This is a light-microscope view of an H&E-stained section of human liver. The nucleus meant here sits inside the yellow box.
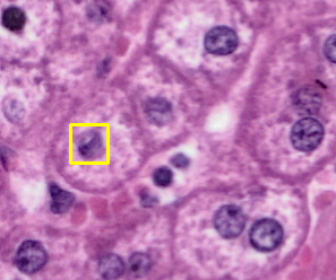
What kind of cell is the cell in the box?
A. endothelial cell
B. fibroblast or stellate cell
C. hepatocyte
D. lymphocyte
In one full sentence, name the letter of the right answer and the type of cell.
Option C names it right: the cell in the box is a hepatocyte.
